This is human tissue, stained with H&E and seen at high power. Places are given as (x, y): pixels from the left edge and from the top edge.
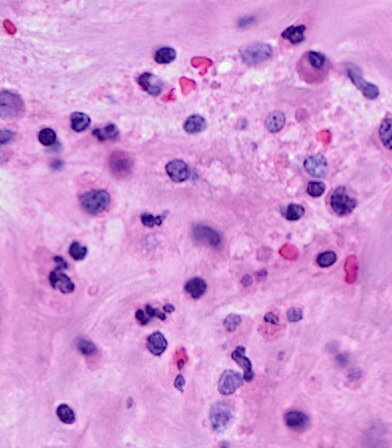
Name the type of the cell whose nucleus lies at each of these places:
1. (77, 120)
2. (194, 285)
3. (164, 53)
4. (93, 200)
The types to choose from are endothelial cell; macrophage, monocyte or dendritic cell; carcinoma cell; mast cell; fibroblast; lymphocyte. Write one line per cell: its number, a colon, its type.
1: lymphocyte
2: lymphocyte
3: lymphocyte
4: mast cell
